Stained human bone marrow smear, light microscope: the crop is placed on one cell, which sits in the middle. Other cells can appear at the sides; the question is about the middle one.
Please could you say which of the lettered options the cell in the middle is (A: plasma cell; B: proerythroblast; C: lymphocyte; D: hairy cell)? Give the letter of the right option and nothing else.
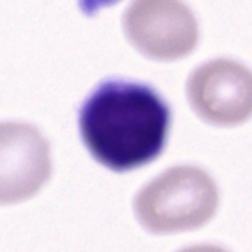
C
